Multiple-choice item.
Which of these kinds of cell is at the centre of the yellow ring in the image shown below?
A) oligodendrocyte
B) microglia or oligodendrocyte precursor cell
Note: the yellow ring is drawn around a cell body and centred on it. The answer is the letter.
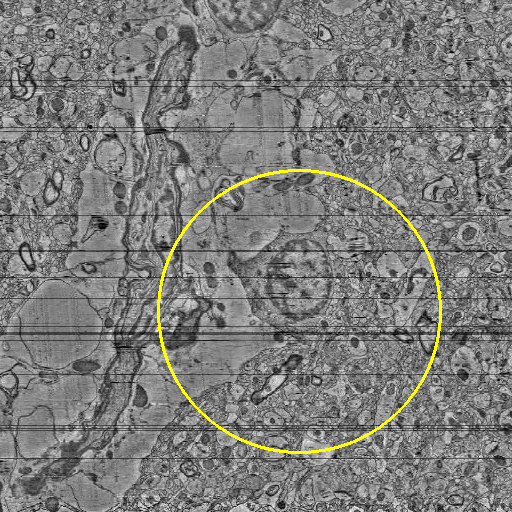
A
